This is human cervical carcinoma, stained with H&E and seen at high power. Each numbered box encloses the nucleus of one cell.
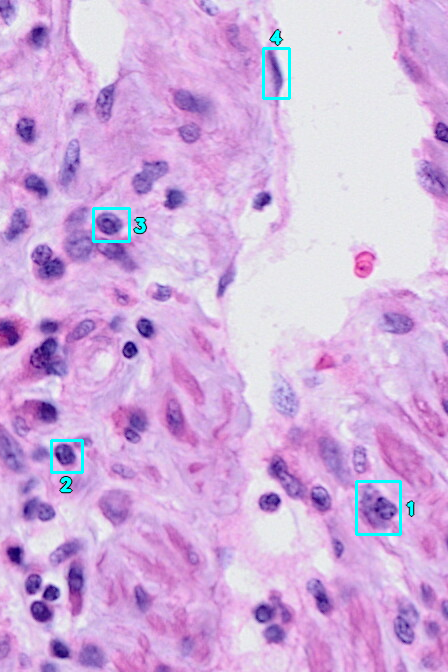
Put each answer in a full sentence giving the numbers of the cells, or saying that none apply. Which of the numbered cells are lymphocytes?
The cells that have been numbered 2 and 3 are lymphocytes.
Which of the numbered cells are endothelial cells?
Mind that only cell 4 is an endothelial cell, none of the rest.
